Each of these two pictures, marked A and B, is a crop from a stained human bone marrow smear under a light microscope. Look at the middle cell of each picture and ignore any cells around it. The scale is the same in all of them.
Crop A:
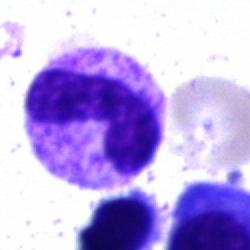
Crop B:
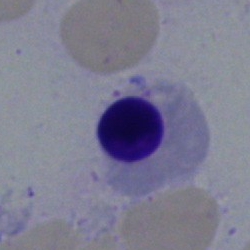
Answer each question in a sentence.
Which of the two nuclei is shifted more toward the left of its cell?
The nucleus in crop B lies further toward the left of its cell.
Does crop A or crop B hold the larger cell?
It is the cell in crop A, about 1.5 times as large in area as the cell in crop B.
